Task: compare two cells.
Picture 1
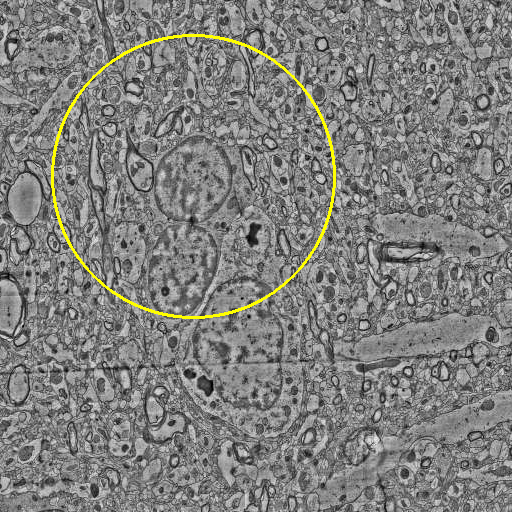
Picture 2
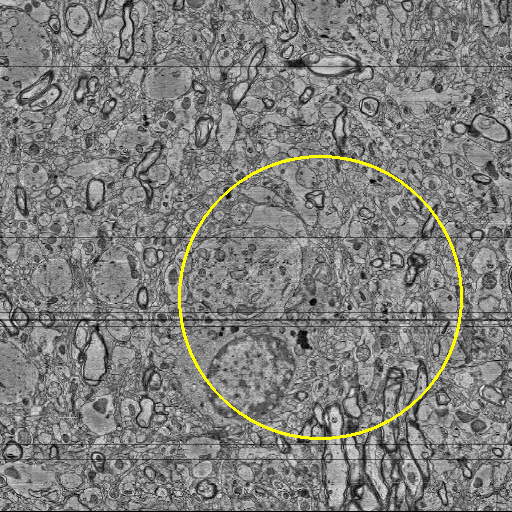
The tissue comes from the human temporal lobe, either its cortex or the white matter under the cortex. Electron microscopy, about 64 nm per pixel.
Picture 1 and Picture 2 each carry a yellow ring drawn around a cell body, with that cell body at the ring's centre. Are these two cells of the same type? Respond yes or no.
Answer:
yes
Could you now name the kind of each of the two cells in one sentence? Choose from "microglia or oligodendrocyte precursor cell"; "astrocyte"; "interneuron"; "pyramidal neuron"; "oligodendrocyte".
Both the first and the second picture show an oligodendrocyte in the ring.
